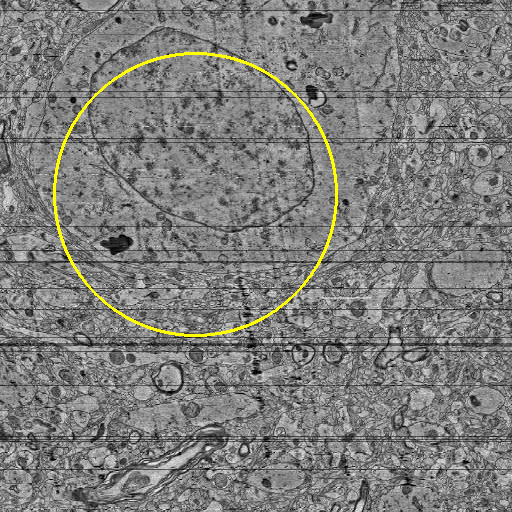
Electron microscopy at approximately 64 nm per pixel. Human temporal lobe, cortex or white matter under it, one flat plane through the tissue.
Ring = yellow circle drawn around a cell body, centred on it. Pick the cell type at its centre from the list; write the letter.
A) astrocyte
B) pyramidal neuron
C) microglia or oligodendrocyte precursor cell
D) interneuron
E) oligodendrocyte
B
